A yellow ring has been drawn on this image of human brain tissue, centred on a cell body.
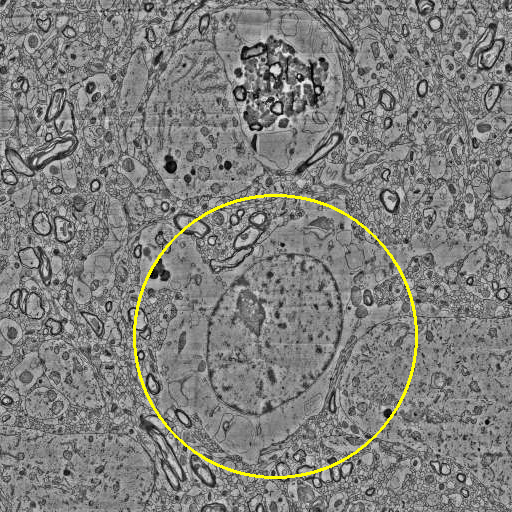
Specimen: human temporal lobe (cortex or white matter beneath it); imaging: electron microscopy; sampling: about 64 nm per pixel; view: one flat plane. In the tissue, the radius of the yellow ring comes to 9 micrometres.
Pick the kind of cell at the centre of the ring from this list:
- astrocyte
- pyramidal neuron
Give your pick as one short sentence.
The centre of the ring holds an astrocyte.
